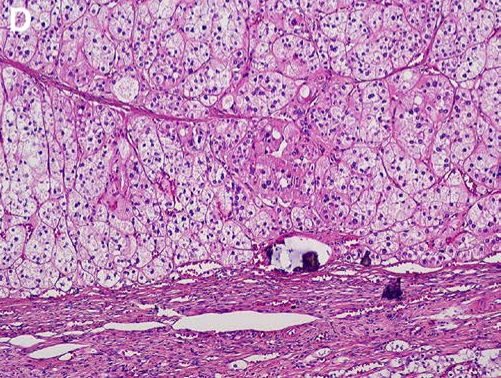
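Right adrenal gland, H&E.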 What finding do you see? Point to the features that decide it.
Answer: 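Dystrophic calcification. A small dark purple irregular deposit lies in a space near the lower border of the clear-cell area. Another small dark purple fragment sits in the stroma below.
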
